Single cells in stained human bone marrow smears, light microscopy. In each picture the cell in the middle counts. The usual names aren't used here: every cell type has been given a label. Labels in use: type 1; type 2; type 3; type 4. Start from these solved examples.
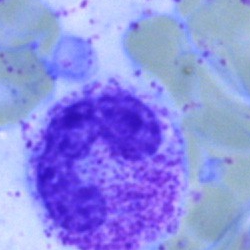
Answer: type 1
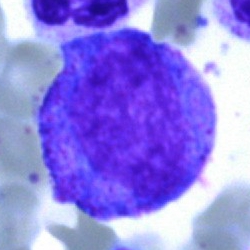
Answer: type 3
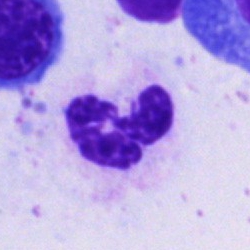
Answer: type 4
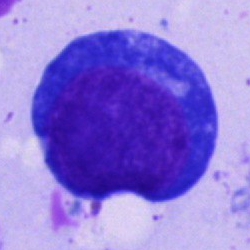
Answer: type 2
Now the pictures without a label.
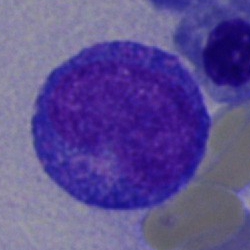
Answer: type 3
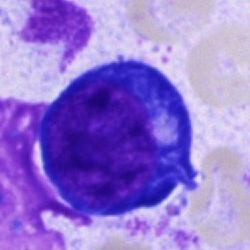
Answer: type 2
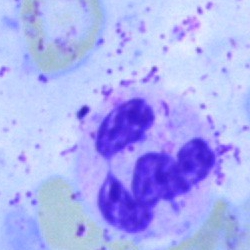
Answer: type 4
